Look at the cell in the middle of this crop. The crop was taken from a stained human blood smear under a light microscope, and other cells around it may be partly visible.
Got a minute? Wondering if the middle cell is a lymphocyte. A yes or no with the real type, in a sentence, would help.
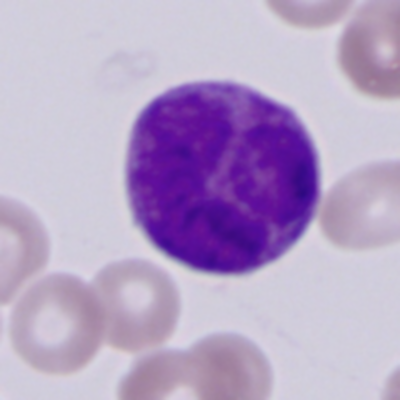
No, the middle cell is classified as a myeloblast instead of a lymphocyte.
